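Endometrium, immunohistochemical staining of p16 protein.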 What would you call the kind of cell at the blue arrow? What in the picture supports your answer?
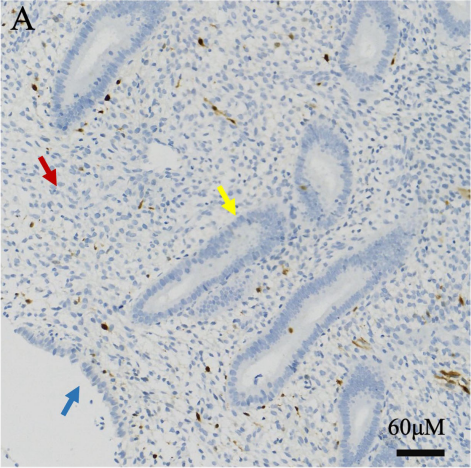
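The arrow points at the cell layer lining the free surface of the tissue at its edge. The layer is a single row of columnar cells facing an empty space. That points to this answer: luminal epithelial cells.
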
